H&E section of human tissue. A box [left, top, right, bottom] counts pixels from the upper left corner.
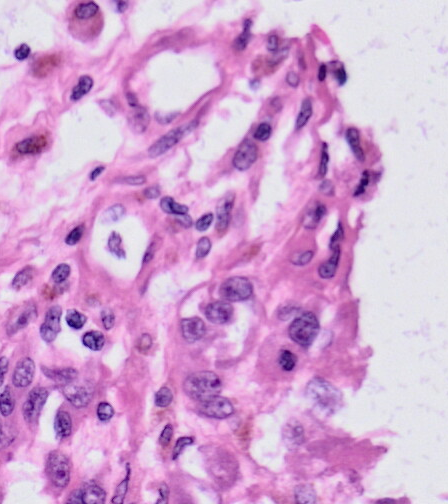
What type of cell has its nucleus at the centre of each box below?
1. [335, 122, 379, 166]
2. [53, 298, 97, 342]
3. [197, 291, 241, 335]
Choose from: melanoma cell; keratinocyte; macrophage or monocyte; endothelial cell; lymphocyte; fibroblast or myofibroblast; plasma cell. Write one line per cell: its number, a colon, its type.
1: macrophage or monocyte
2: lymphocyte
3: melanoma cell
